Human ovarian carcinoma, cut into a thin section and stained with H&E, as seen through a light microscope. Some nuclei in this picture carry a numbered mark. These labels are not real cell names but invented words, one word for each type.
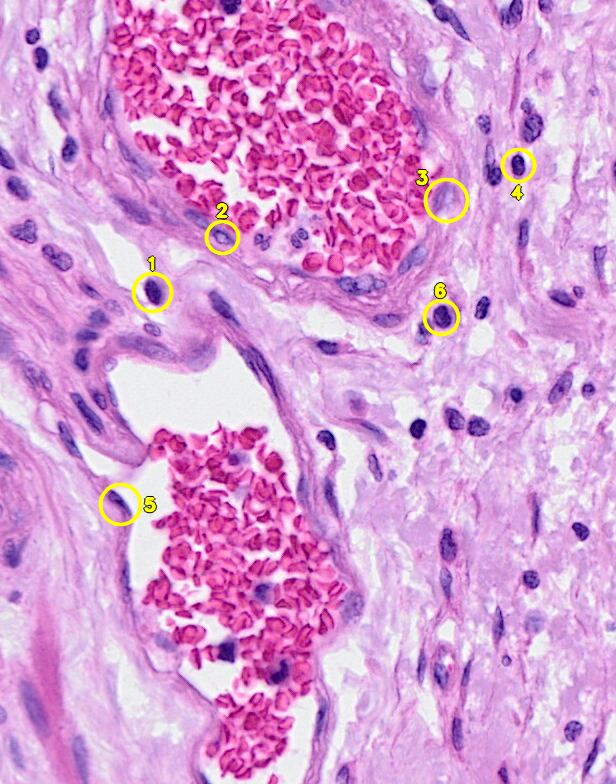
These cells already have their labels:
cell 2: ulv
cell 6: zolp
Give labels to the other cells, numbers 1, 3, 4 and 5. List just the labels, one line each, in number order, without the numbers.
zolp
ulv
zolp
ulv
